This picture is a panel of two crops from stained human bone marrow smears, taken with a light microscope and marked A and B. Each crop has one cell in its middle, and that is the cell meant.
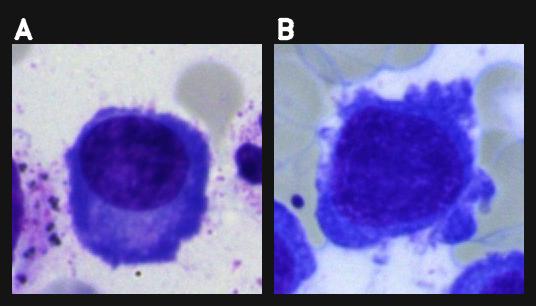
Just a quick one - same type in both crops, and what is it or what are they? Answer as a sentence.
Yes, both crops show plasma cells, and nothing else needs adding.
